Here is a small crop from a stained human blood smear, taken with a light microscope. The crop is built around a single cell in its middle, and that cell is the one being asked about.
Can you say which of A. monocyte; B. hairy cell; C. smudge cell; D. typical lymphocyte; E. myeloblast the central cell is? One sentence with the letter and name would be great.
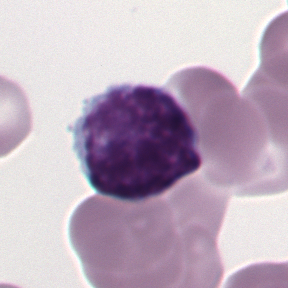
The cell centered in the crop is a typical lymphocyte, making option D the correct pick.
